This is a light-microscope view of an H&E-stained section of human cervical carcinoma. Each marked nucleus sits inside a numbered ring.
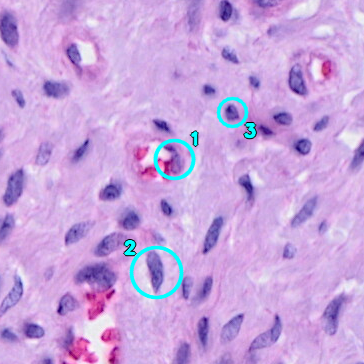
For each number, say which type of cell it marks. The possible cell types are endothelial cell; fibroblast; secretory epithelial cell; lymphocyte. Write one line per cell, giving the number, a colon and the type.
1: endothelial cell
2: fibroblast
3: fibroblast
